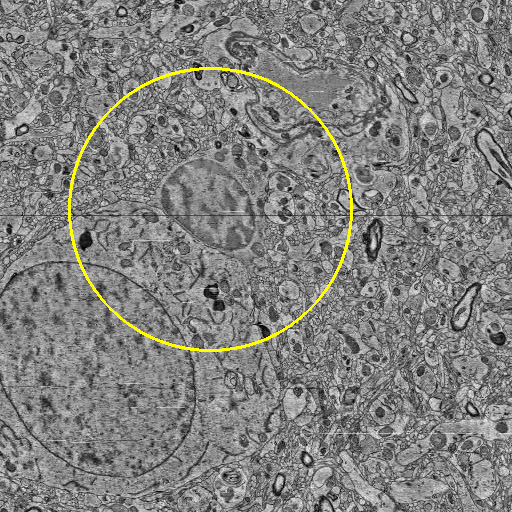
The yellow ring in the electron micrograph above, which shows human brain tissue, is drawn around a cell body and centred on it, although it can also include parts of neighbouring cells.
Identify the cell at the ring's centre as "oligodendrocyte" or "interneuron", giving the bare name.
oligodendrocyte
